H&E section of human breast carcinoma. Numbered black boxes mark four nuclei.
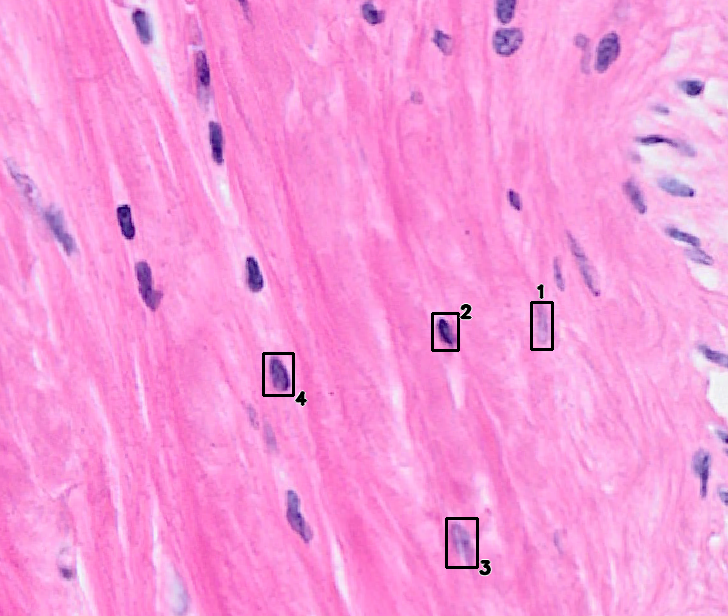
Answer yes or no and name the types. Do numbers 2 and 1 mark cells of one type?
No, cell 2 is a lymphocyte, and in contrast cell 1 is a fibroblast.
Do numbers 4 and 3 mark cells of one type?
No, sorry to say, cell 4 is a lymphocyte and cell 3 is a fibroblast.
